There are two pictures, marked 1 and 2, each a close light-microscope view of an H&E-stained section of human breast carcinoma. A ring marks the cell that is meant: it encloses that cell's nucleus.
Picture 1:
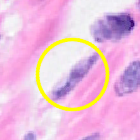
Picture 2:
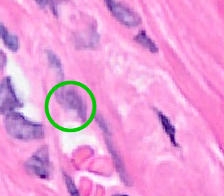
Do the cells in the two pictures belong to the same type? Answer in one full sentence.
No, they differ: the cell is a fibroblast in picture 1 and an endothelial cell in picture 2.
